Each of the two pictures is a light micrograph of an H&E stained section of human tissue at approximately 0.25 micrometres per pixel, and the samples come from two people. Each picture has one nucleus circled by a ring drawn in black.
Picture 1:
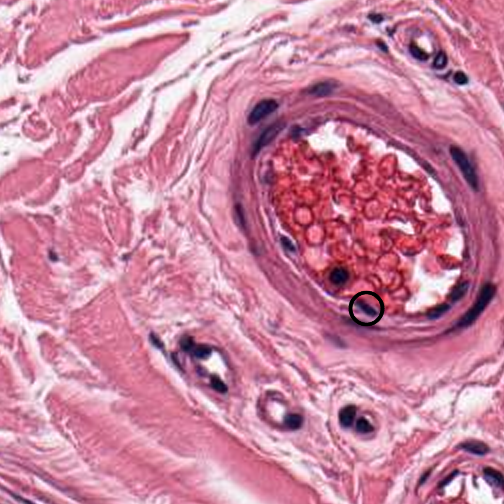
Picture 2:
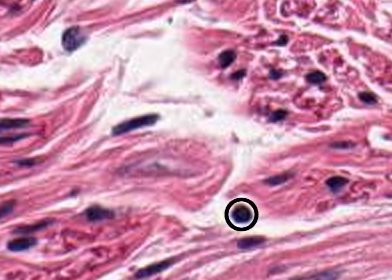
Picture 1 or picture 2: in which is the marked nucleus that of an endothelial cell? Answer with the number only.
1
